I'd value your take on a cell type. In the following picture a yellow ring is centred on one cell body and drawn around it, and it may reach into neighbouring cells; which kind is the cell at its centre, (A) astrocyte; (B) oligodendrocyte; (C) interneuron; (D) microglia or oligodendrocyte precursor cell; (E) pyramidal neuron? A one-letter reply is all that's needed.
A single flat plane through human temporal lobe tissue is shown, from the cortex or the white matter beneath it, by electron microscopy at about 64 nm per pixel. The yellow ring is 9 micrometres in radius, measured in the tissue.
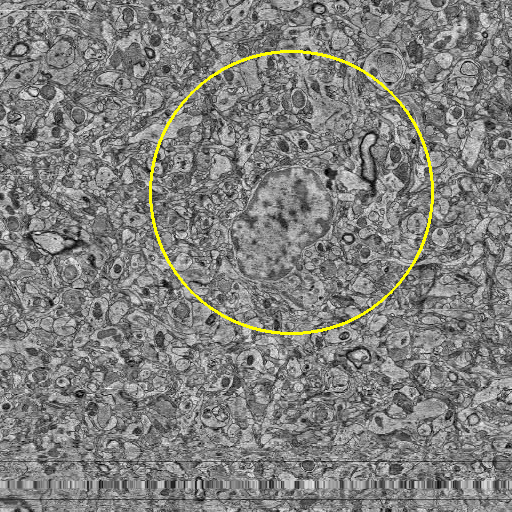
D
